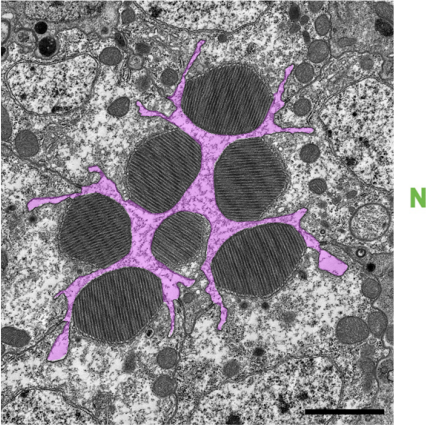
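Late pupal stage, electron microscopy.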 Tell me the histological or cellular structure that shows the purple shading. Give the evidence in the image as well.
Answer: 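The purple area fills the gaps between the dark striated bodies. It branches outward between neighbouring bodies.
Conclusion: inter-rhabdomeric space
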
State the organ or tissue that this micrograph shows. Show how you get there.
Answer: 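The bodies are set apart by a shared branched space between them.
Conclusion: ommatidium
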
